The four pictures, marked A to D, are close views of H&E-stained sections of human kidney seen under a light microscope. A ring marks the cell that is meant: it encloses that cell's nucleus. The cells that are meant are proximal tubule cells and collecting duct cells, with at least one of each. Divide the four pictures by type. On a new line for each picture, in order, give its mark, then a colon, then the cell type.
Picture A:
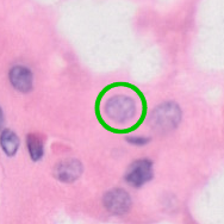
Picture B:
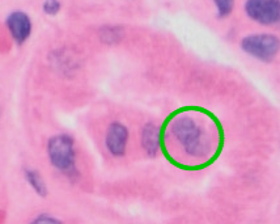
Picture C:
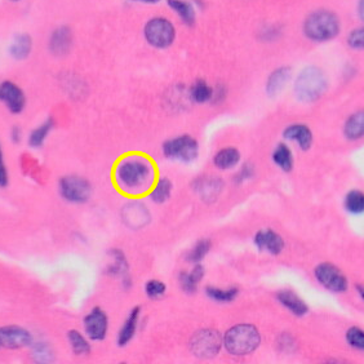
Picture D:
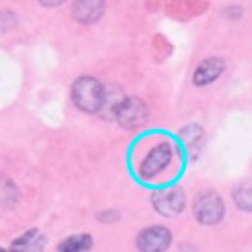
A: proximal tubule cell
B: proximal tubule cell
C: collecting duct cell
D: collecting duct cell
